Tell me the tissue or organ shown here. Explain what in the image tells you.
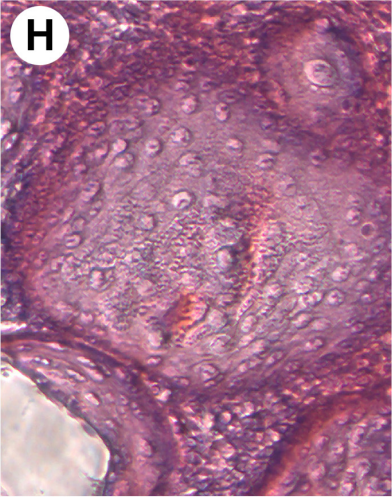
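Cartilage. Rounded cells lie singly in clear spaces within a homogeneous matrix. The matrix is pale and glassy, bounded by a denser pink rim.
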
